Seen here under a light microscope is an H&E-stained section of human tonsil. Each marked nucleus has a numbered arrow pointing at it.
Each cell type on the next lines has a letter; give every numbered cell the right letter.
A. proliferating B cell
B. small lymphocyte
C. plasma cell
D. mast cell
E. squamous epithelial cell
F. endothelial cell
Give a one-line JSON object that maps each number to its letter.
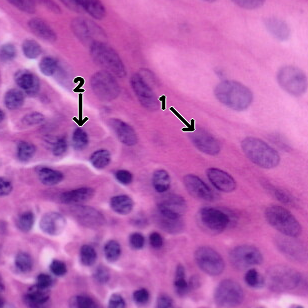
{"1": "E", "2": "C"}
